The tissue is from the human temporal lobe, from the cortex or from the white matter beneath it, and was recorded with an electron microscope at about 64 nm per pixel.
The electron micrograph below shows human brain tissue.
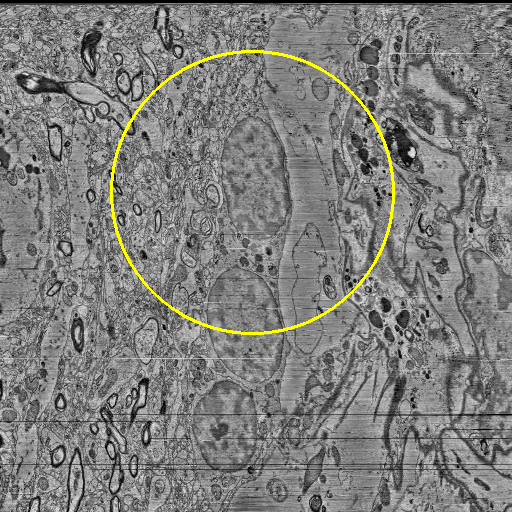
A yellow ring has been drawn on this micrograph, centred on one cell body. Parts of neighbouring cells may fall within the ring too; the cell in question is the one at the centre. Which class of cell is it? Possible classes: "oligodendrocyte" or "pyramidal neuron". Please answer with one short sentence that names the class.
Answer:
In the centre of the ring sits an oligodendrocyte.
